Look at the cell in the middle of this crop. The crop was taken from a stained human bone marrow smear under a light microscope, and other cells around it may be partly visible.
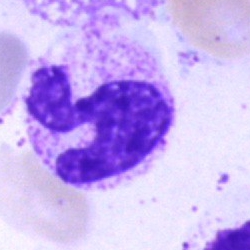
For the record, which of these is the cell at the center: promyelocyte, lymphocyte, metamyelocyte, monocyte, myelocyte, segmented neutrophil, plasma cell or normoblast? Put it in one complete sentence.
Present in the middle of the crop is a segmented neutrophil.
